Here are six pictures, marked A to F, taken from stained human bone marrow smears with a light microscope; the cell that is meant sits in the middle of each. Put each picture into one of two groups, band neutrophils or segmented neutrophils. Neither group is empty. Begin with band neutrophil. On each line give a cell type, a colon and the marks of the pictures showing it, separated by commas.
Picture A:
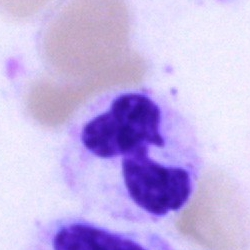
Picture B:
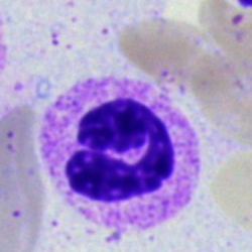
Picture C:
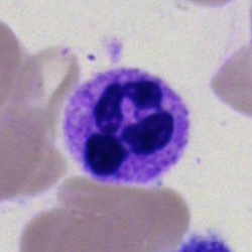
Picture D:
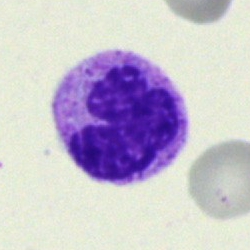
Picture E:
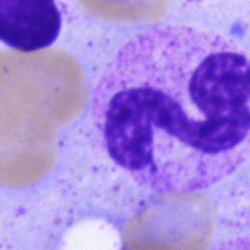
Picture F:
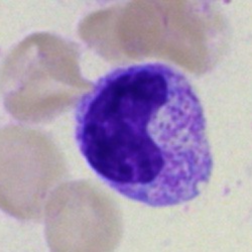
band neutrophil: D, F
segmented neutrophil: A, B, C, E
